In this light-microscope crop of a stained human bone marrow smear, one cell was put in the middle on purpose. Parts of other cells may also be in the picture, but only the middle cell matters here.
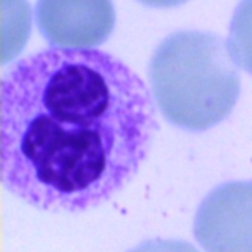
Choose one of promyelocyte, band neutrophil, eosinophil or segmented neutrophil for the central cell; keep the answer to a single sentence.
Located at the centre of the crop is a segmented neutrophil.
